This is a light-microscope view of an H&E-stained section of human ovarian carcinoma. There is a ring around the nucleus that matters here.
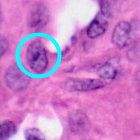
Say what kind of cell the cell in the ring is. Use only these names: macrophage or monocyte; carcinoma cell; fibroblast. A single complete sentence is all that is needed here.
As far as its identity is concerned, the cell in the ring is a macrophage or monocyte.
